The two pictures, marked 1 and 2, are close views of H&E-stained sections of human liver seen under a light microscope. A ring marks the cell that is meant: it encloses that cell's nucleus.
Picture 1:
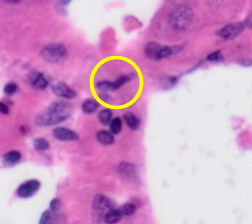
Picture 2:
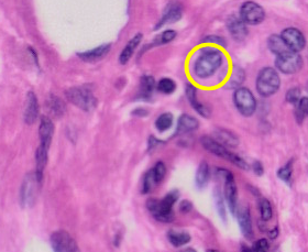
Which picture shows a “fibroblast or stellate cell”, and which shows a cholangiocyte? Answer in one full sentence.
Picture 2 shows a cholangiocyte, while picture 1 shows a “fibroblast or stellate cell”.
